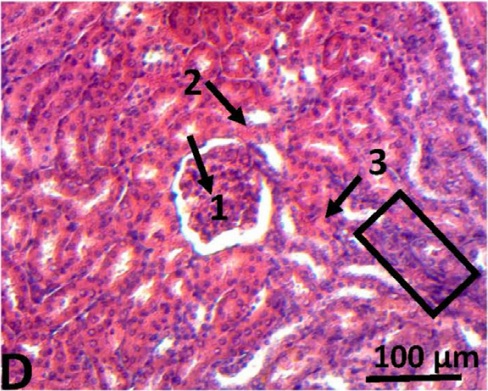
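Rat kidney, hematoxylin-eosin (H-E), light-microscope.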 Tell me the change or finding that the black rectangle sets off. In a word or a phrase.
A: inflammatory cell infiltration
